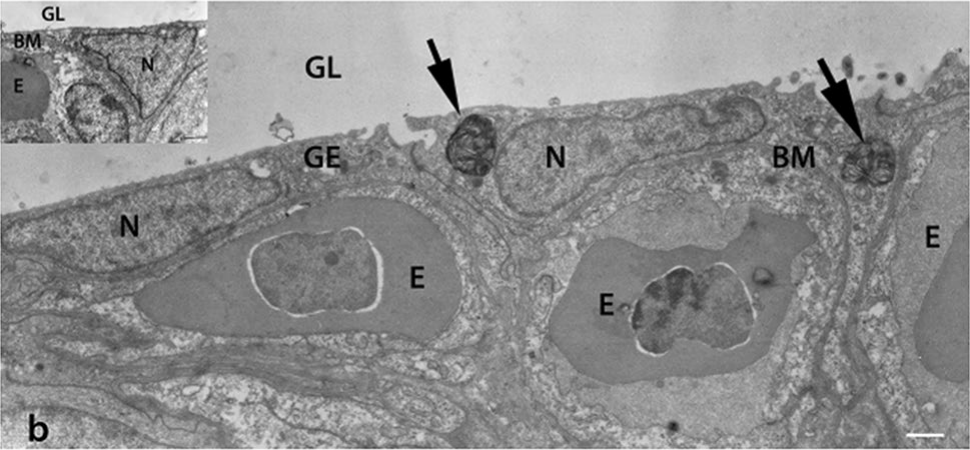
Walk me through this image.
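The epithelial cells have elongated, oval nuclei and a thin layer of cytoplasm stretched along the surface facing the pale lumen. Small round dark bodies with concentric layered membranes, the lamellar bodies, lie in the cytoplasm near the luminal surface. Red blood cells with dark cytoplasm and irregular nuclei sit in capillaries close beneath the epithelium, separated from the lumen only by thin cell sheets. A small inset shows a cell body with a large nucleus lying between capillaries.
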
